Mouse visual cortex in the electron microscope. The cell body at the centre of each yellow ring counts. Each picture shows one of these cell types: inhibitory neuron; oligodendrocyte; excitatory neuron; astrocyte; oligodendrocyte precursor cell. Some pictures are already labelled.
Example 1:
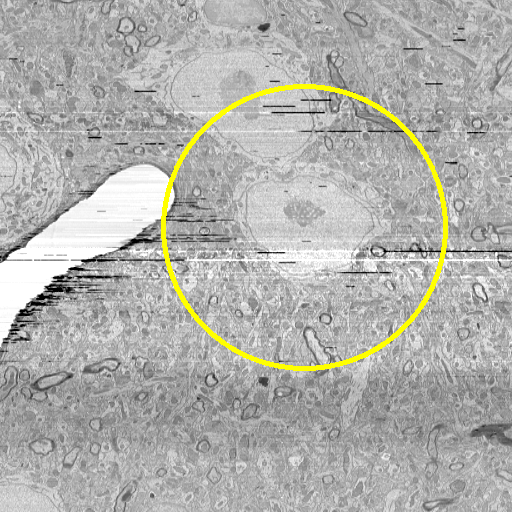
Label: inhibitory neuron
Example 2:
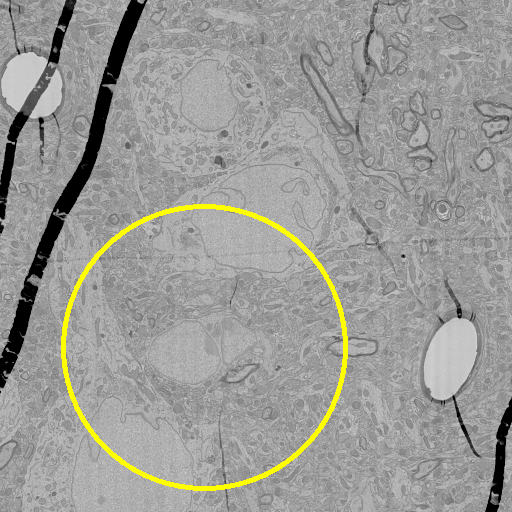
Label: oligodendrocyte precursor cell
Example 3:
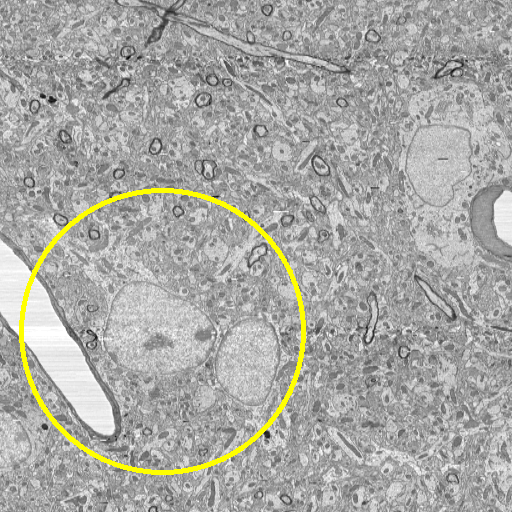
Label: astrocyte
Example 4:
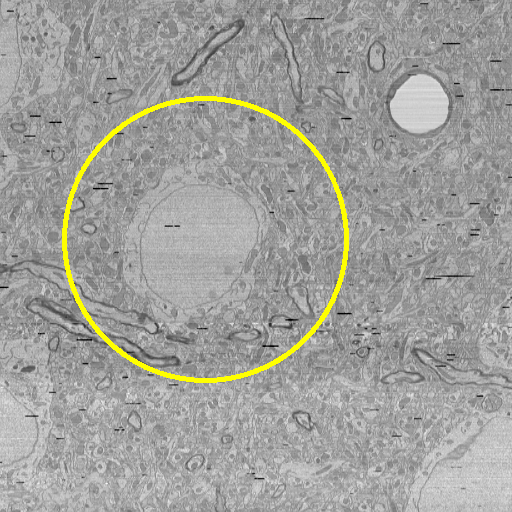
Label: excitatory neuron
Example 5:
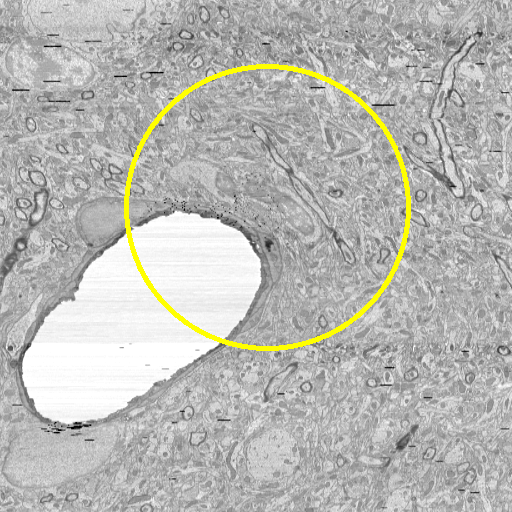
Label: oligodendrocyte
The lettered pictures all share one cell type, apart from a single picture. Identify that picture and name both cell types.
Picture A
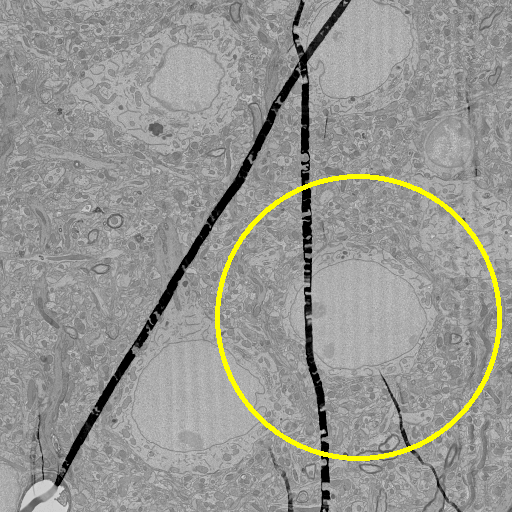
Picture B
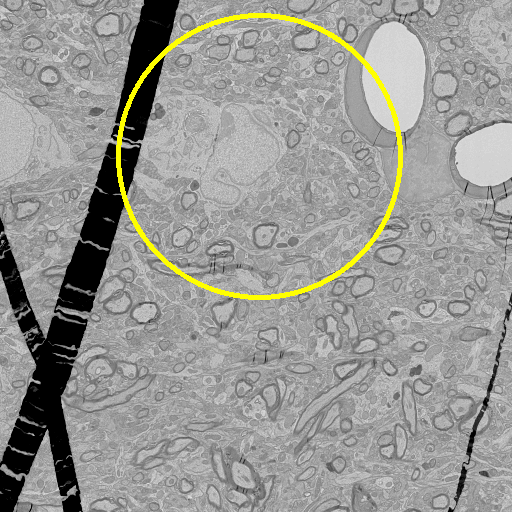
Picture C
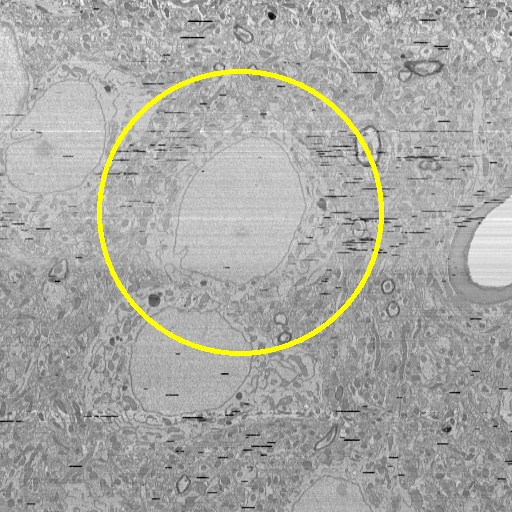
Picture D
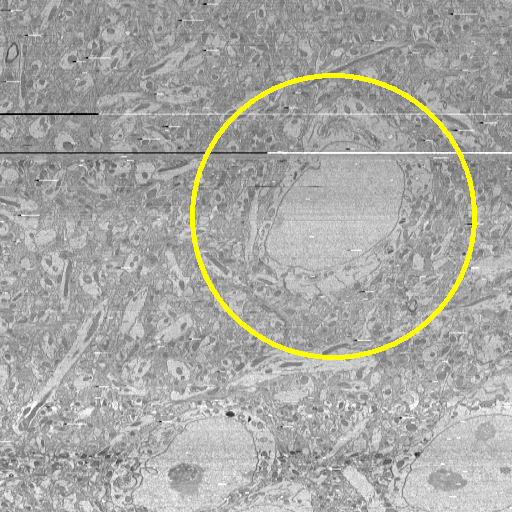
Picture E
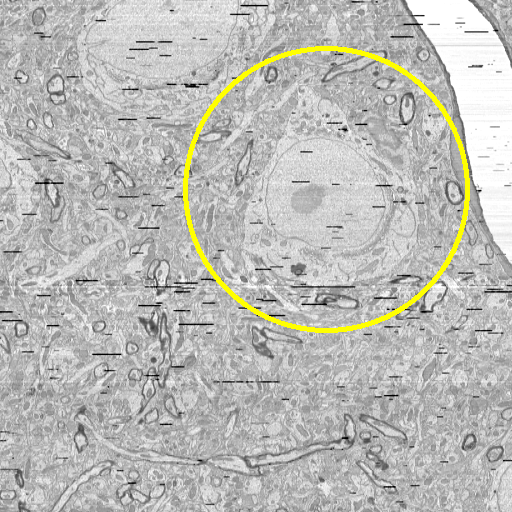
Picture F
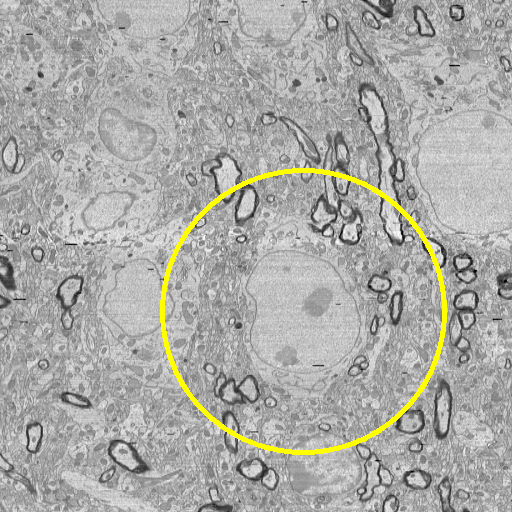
Picture B: oligodendrocyte precursor cell. All others: excitatory neuron.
